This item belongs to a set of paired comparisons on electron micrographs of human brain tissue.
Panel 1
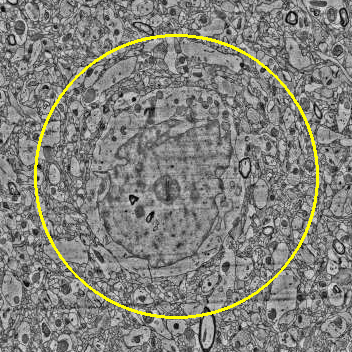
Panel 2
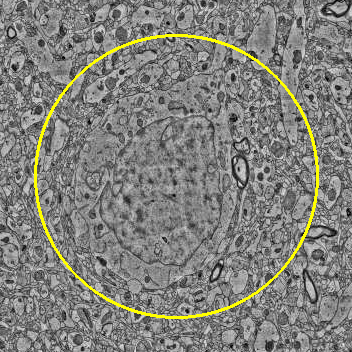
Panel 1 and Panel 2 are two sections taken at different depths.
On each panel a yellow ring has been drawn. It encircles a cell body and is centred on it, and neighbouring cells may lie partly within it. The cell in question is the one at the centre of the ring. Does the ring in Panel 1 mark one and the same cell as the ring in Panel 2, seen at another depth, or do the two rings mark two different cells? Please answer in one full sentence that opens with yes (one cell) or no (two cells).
Yes, one and the same cell lies under both rings.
